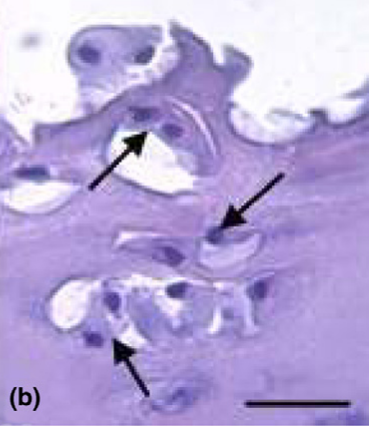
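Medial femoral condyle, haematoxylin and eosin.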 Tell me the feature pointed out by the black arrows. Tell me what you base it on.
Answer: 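Several nuclei lie grouped together within shared clear spaces. The groups sit near an irregular tissue surface. The surrounding matrix is homogeneous and purple. So: chondrocyte clusters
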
